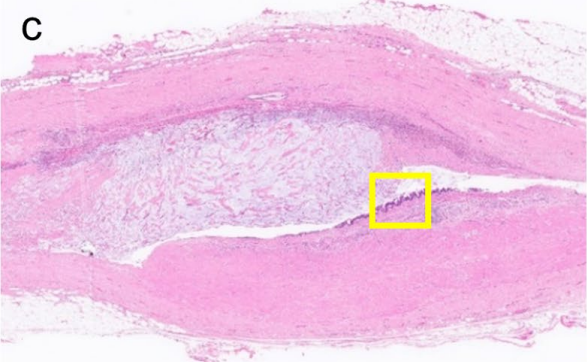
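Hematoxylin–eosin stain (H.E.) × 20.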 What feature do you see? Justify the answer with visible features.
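The central cavity is filled with pale, loose, wispy bluish-gray material. This material is much paler and less dense than the surrounding wall. So: mucus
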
